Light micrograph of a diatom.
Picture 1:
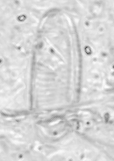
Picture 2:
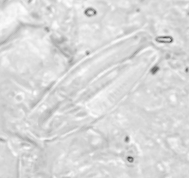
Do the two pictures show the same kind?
Yes, both are Achnanthidium.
